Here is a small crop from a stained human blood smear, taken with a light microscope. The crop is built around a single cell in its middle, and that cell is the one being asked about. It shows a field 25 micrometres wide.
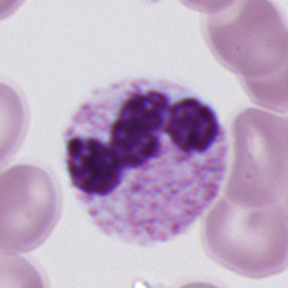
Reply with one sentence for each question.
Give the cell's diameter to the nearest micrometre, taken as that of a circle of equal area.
The diameter of the cell comes to about 14 micrometres.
